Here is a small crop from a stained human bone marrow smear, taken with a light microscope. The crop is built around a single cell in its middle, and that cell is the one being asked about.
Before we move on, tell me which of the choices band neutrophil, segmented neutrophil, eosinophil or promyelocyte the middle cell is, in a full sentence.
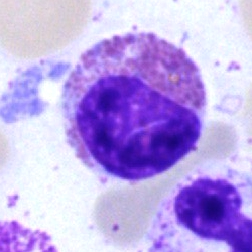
Seen at the centre of the crop is an eosinophil.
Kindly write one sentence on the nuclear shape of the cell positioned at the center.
The nucleus amounts to one compact mass with a round, oval or kidney-shaped outline.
